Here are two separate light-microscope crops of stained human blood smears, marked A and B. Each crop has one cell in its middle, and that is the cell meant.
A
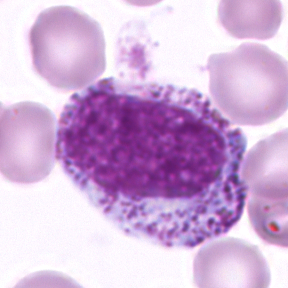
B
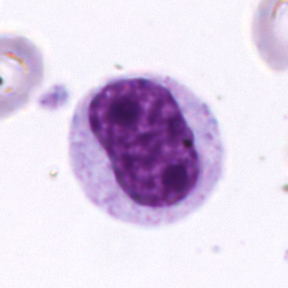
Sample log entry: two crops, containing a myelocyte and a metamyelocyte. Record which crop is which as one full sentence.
Crop A is a myelocyte, whereas a metamyelocyte is found in crop B.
